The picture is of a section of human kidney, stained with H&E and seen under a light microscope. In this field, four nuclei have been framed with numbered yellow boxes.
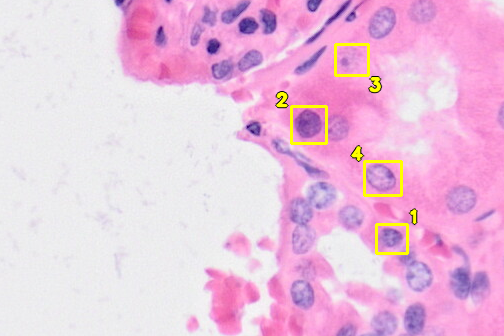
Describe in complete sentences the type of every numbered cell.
Cell 1 is a collecting duct cell. Cells 2, 3 and 4 are proximal tubule cells.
